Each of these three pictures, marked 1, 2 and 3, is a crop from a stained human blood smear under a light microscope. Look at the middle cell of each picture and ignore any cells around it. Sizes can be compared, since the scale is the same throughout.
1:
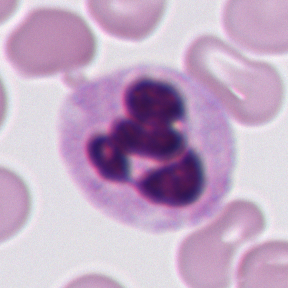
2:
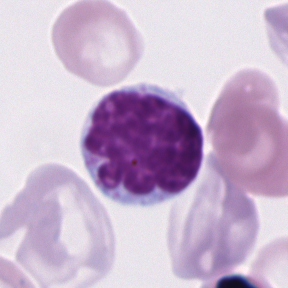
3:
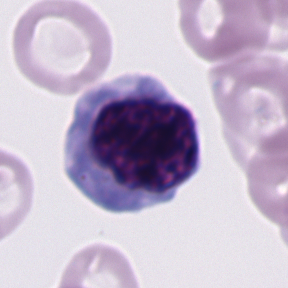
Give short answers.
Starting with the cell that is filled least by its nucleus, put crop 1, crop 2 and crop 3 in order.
1, 3, 2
